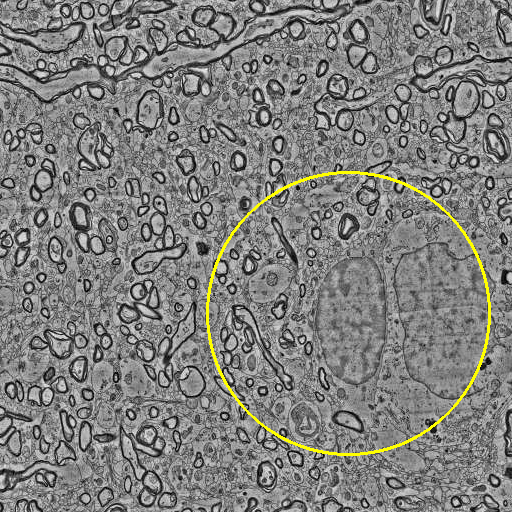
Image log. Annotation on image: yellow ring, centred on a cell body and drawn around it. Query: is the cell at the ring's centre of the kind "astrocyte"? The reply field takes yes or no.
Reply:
no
